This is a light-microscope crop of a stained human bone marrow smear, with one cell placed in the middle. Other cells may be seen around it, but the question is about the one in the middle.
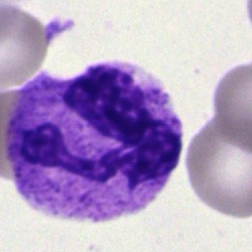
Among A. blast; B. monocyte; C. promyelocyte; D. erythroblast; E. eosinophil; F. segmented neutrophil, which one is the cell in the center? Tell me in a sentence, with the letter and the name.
It is a segmented neutrophil that occupies the centre of the crop, so option F is correct.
